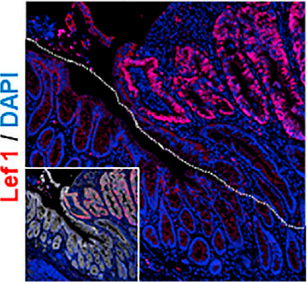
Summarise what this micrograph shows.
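A dashed line divides the field: above it, crowded irregular glands with strongly red nuclei; below it, regular crypts with blue nuclei and little red. The upper region is tumor, and the lower is non-tumor colonic crypts.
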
